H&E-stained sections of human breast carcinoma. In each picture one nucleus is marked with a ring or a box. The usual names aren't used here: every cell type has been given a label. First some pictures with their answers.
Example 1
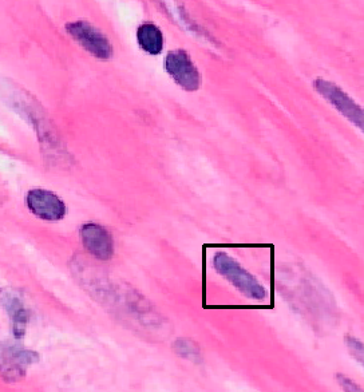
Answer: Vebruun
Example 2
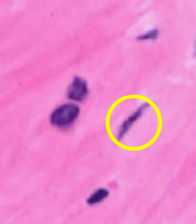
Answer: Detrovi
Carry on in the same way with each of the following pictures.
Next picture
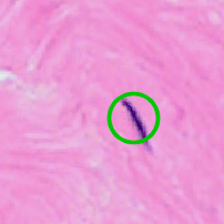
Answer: Detrovi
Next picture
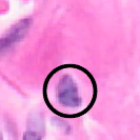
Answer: Vebruun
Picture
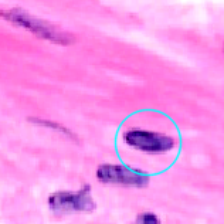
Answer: Vebruun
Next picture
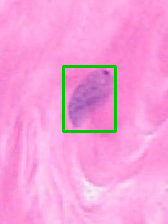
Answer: Detrovi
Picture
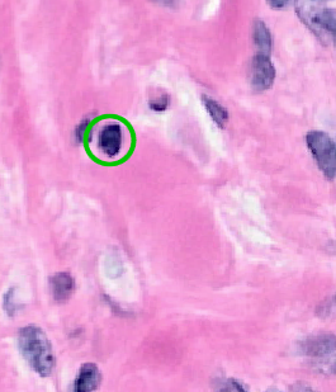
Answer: Vebruun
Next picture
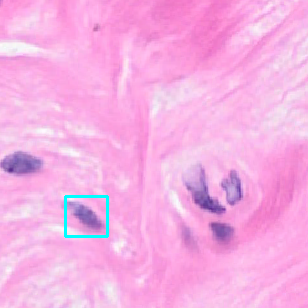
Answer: Detrovi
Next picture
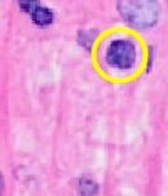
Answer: Vebruun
